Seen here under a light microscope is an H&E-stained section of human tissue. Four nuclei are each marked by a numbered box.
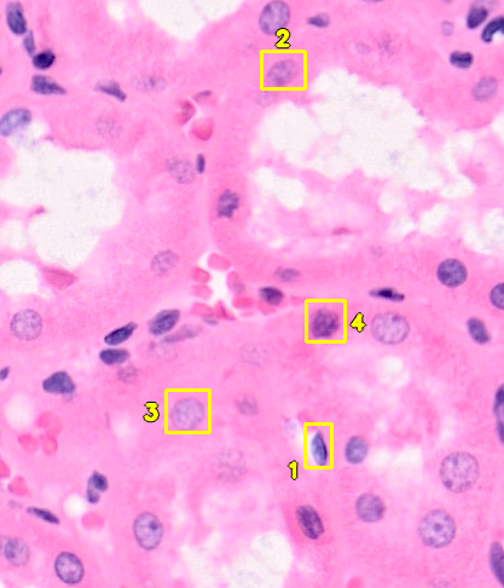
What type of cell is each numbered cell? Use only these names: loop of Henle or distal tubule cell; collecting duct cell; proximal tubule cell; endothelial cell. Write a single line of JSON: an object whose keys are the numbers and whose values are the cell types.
{"1": "endothelial cell", "2": "proximal tubule cell", "3": "proximal tubule cell", "4": "proximal tubule cell"}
